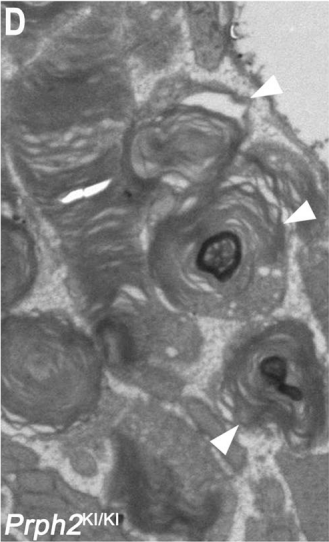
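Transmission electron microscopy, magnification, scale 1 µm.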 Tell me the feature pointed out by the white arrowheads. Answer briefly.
concentric membranous circles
